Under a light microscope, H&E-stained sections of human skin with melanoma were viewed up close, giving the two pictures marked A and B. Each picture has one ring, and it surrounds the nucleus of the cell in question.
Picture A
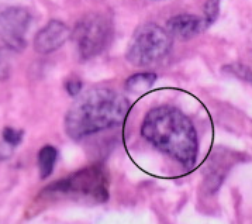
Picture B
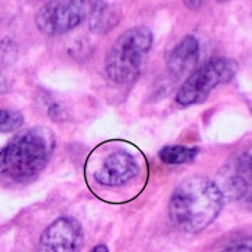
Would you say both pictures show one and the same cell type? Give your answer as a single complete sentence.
Yes, both are melanoma cells.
